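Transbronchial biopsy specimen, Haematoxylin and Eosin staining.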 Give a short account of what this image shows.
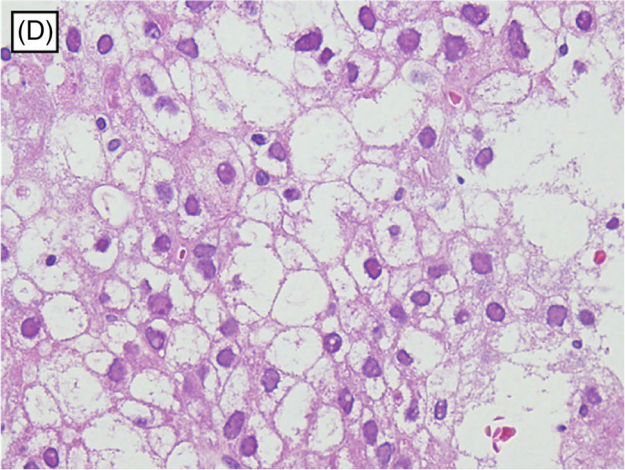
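These are atypical tumour cells, large and polygonal, packed closely together with distinct cell borders. The abundant cytoplasm is pale pink with many clear vacuoles and fine pink strands, and a few red blood cells lie between the cells.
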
